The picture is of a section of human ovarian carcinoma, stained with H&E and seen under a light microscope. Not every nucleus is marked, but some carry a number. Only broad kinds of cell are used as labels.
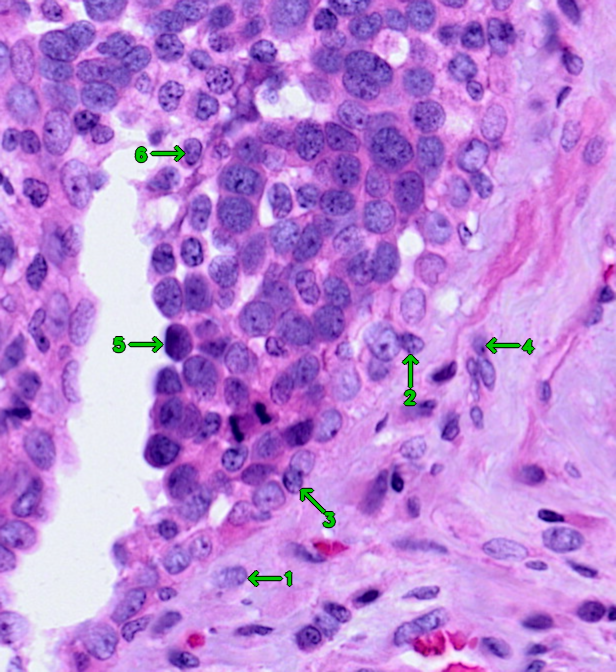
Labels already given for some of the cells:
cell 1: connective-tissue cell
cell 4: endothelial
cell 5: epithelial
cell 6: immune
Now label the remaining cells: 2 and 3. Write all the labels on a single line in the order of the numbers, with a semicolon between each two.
immune; immune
